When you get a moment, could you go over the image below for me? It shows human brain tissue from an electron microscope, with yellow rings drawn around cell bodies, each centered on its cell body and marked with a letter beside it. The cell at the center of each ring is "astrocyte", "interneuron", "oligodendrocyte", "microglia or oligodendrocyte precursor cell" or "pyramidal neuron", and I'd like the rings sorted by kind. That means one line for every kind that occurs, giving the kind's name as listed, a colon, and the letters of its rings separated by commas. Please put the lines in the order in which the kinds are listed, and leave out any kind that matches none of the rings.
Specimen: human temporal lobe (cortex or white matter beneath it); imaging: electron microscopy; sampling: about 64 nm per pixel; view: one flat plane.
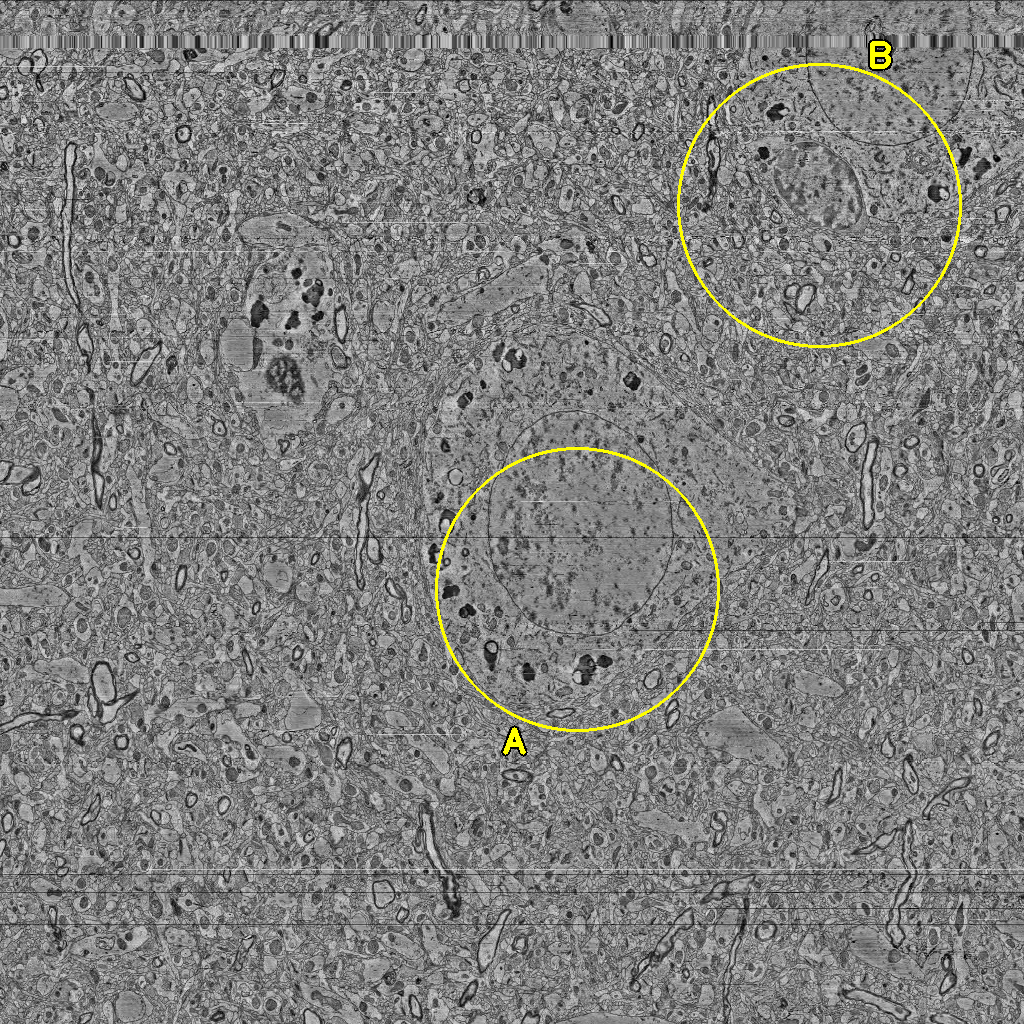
oligodendrocyte: B
pyramidal neuron: A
